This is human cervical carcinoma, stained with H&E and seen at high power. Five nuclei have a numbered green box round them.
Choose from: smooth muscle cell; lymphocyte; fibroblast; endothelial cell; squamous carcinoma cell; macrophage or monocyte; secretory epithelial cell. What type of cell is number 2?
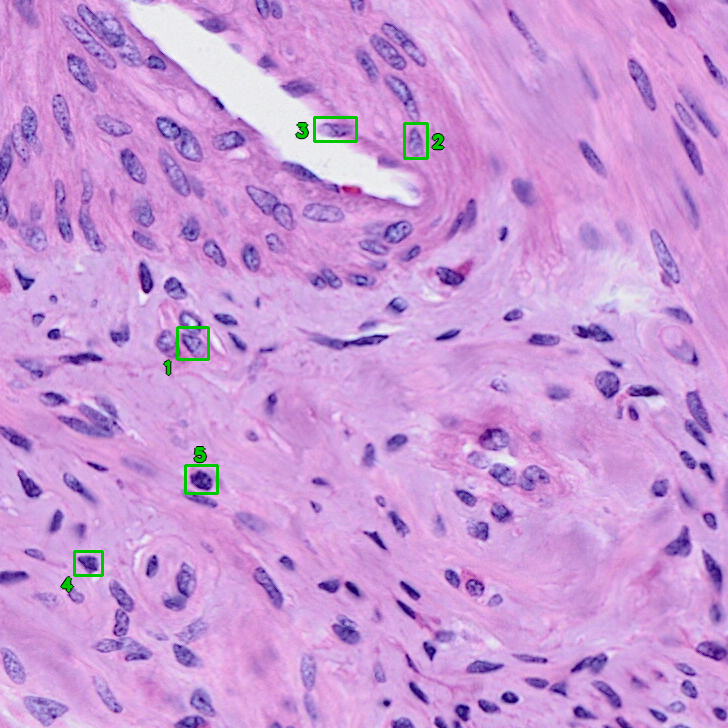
smooth muscle cell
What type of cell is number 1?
endothelial cell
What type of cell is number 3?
endothelial cell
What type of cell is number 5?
lymphocyte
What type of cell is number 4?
fibroblast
